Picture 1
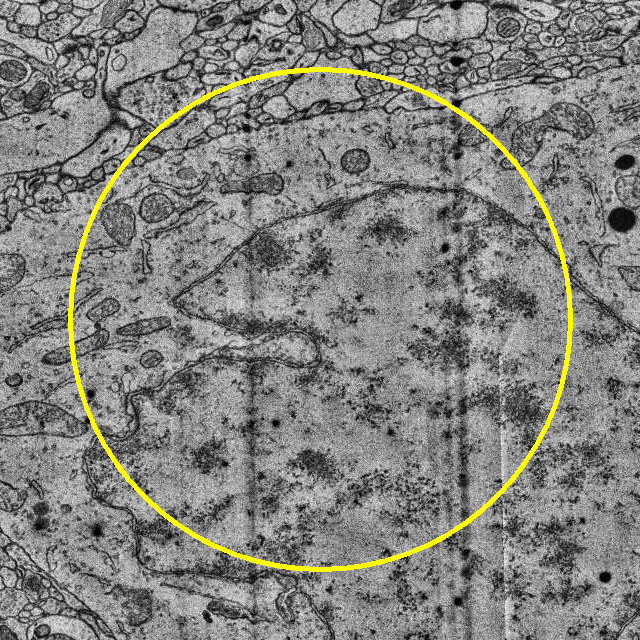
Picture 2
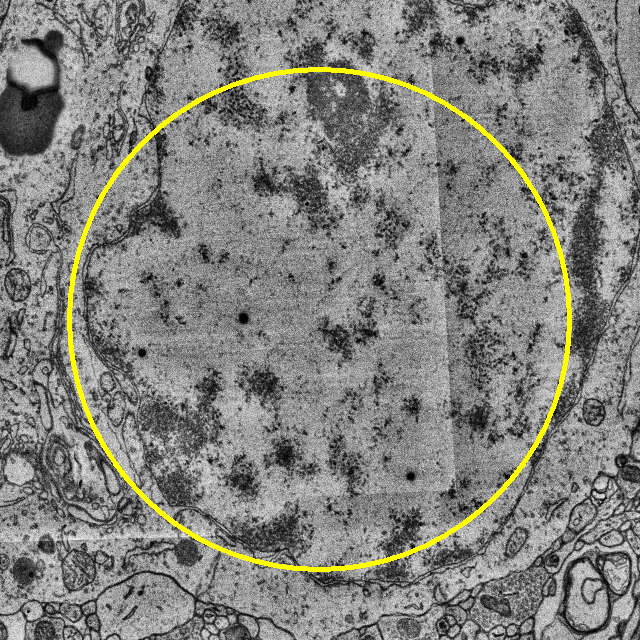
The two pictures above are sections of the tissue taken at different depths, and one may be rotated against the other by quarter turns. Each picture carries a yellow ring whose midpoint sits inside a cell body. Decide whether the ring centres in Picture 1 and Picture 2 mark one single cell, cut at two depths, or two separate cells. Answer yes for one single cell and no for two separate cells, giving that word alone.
no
